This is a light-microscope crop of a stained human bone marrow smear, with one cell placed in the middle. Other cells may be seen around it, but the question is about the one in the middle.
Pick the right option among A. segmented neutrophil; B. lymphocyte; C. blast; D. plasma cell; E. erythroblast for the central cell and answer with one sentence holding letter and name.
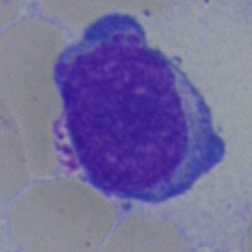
Given that the cell in the middle is a blast, option C is correct.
